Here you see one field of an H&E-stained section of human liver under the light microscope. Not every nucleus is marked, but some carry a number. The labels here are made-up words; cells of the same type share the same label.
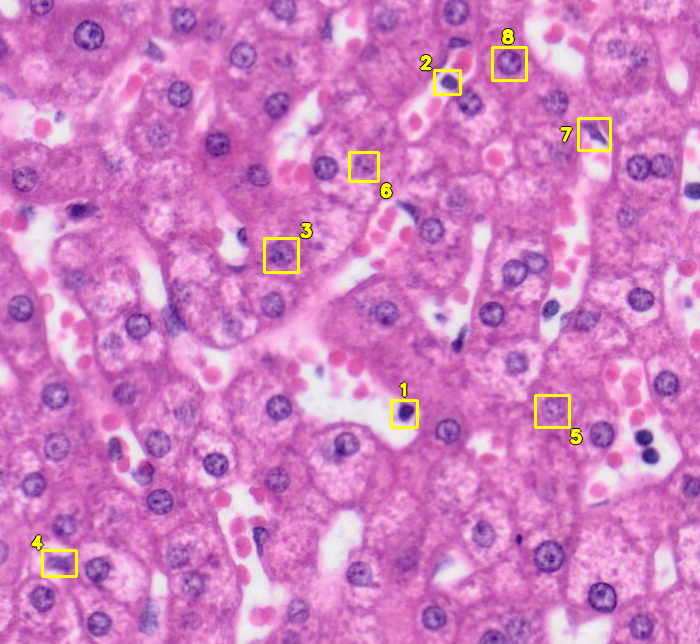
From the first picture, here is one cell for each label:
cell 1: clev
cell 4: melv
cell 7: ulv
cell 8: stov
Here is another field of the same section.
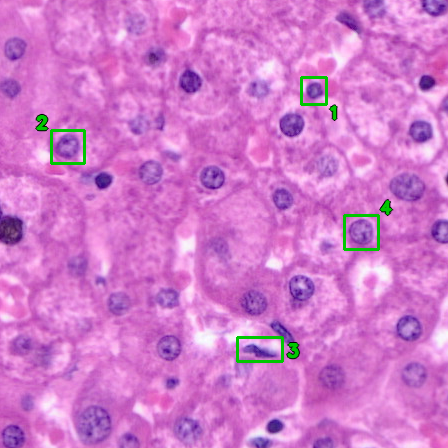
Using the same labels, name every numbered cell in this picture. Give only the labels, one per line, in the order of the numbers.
clev
stov
ulv
stov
